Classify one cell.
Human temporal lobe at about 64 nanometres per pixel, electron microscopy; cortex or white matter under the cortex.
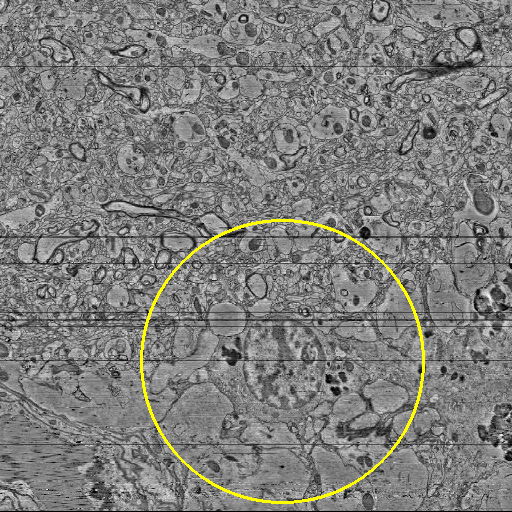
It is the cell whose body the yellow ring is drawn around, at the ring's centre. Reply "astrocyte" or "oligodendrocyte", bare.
oligodendrocyte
